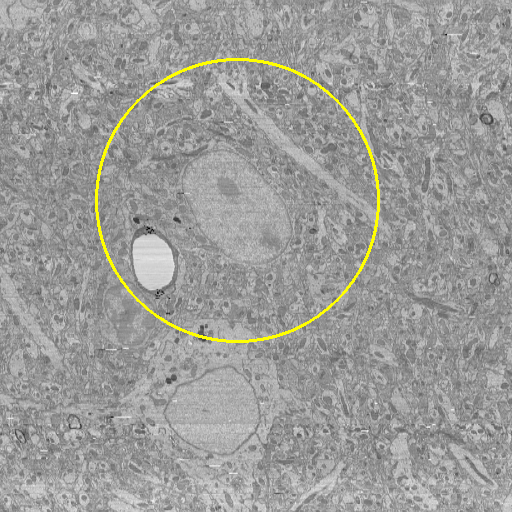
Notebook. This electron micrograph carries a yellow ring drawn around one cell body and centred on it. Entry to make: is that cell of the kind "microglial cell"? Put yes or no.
no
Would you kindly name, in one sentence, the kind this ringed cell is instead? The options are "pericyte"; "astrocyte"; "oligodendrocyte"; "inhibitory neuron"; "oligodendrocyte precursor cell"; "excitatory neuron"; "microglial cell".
Instead, the cell at the centre of the yellow ring is an astrocyte.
